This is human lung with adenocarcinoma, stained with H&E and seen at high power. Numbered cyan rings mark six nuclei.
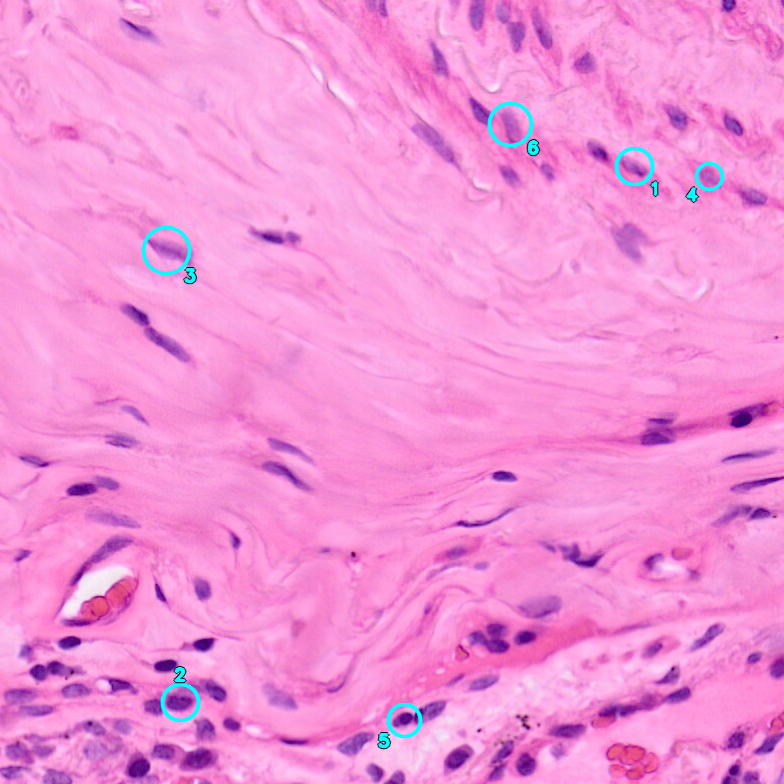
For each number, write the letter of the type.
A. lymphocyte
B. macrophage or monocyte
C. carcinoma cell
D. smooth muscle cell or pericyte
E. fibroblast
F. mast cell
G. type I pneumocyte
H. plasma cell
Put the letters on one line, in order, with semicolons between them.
D; A; E; D; A; D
